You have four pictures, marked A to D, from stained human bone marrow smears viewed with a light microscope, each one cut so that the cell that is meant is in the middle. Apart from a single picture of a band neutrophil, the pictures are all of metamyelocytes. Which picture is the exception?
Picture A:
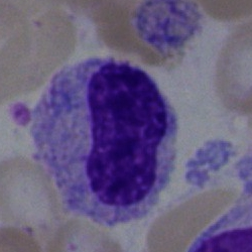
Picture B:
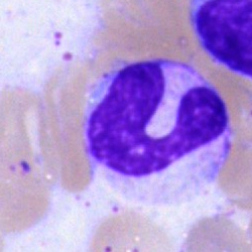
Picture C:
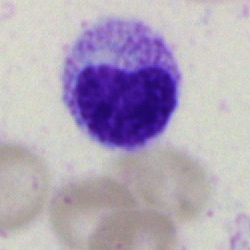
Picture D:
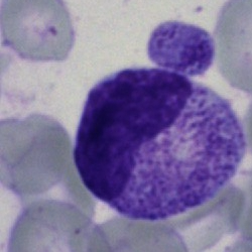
B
